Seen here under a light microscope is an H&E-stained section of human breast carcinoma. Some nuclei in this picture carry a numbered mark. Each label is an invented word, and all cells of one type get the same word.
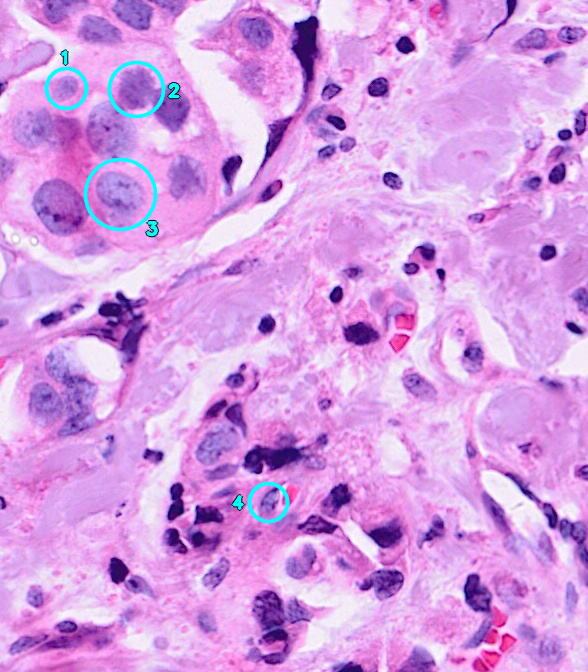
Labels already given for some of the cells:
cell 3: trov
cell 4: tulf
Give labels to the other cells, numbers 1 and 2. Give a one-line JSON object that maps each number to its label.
{"1": "trov", "2": "trov"}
